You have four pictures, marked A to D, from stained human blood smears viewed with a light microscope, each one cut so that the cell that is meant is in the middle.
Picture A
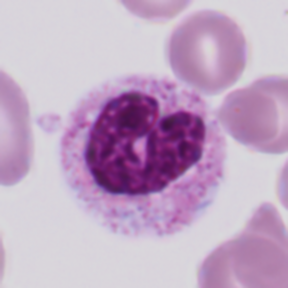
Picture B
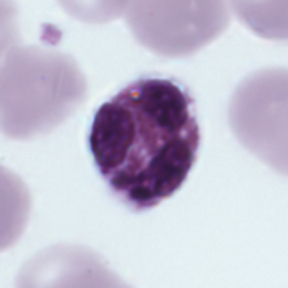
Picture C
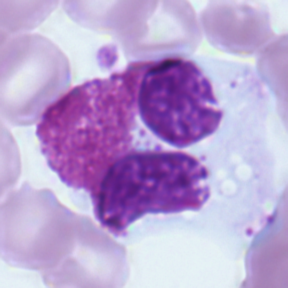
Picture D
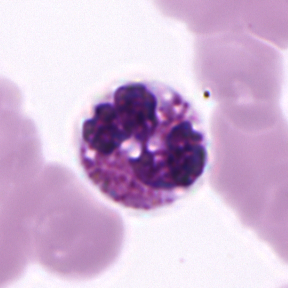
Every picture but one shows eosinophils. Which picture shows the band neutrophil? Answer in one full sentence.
Picture A shows the band neutrophil.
